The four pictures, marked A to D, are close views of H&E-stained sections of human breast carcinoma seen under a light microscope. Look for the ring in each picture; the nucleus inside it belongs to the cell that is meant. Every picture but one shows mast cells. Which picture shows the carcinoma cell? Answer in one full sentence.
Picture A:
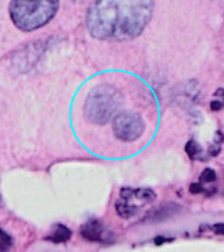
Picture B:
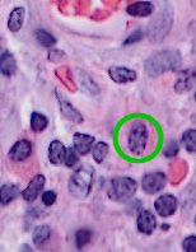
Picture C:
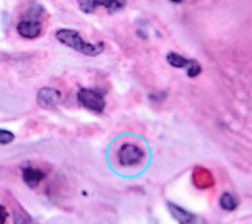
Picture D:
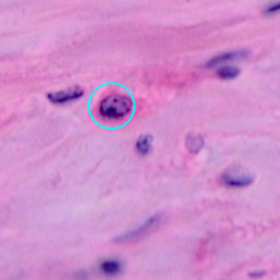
Picture A is the one that shows the carcinoma cell.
